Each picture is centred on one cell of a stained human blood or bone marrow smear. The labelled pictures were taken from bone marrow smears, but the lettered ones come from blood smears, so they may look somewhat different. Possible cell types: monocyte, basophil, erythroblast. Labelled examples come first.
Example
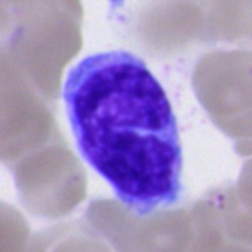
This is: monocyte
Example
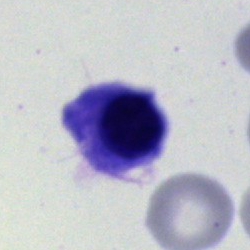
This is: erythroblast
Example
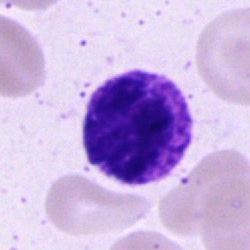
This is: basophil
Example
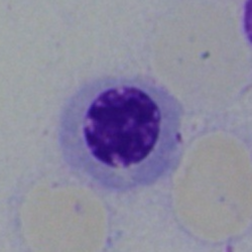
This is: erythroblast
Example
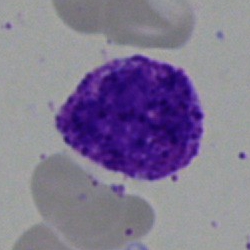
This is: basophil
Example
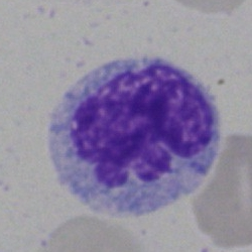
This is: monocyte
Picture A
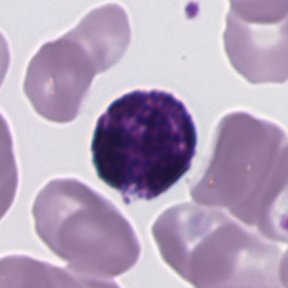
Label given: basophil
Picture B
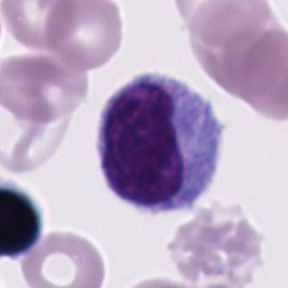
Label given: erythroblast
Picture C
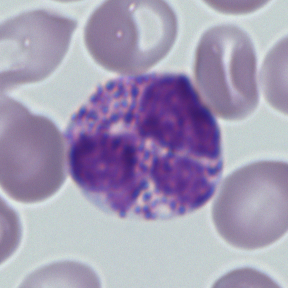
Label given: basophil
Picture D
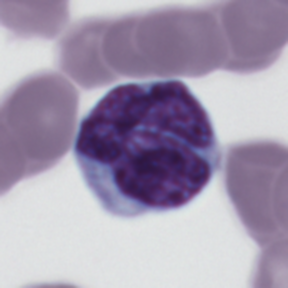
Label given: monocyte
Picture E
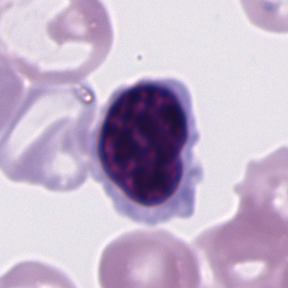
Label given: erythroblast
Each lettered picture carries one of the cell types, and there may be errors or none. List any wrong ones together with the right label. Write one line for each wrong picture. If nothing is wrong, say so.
All labels are correct.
